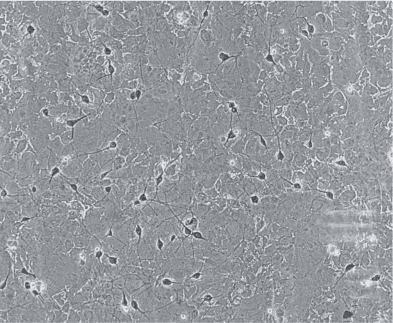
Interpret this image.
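The neuronal somata are small, phase-dark and rounded to triangular or spindle-shaped, each surrounded by a light halo. Long, fine processes run from many of the somata across the field, some reaching neighbouring cells. Beneath them the non-neuronal cells form a continuous mosaic of flat polygonal shapes with bright outlines.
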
